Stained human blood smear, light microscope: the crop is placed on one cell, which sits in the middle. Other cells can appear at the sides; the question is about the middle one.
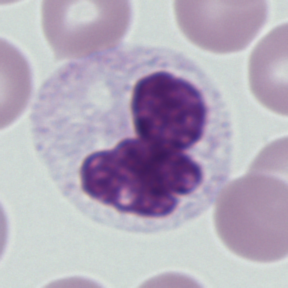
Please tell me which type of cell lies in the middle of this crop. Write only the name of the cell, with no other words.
segmented neutrophil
